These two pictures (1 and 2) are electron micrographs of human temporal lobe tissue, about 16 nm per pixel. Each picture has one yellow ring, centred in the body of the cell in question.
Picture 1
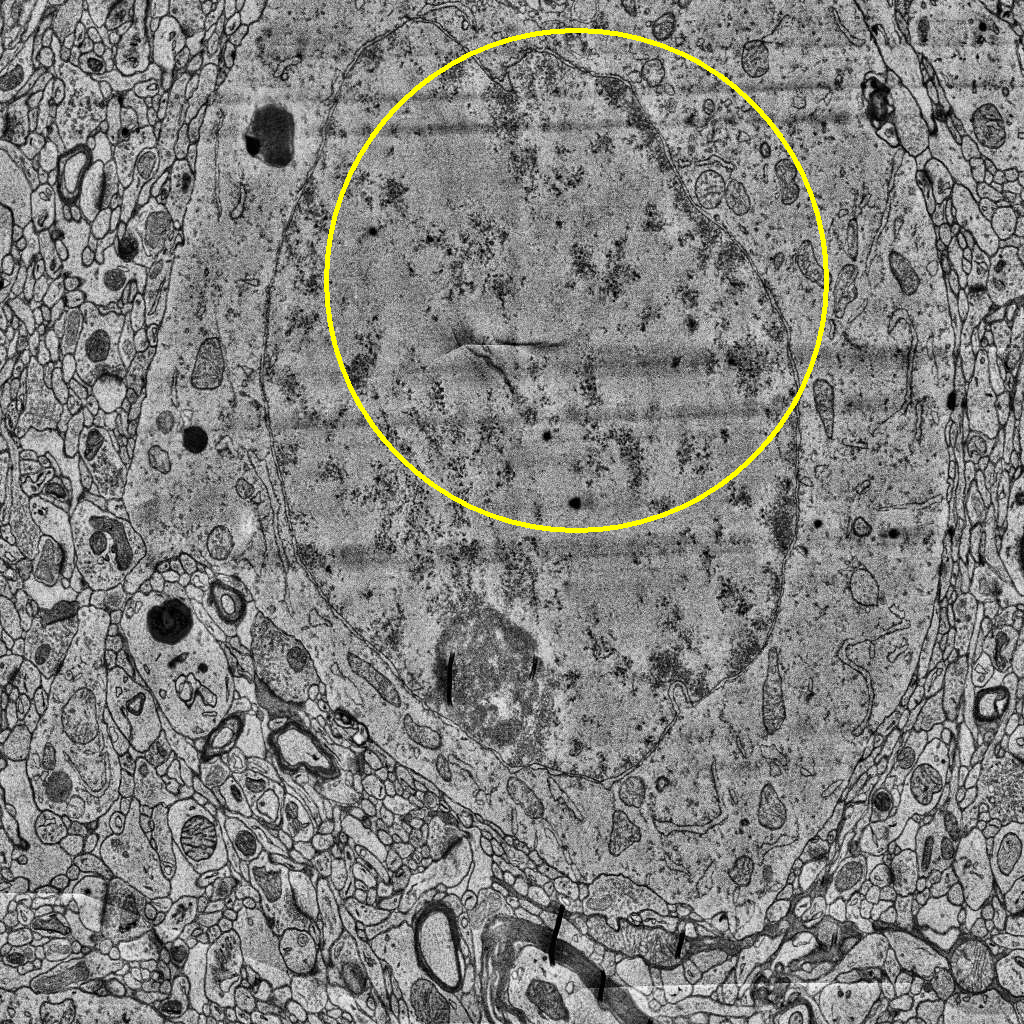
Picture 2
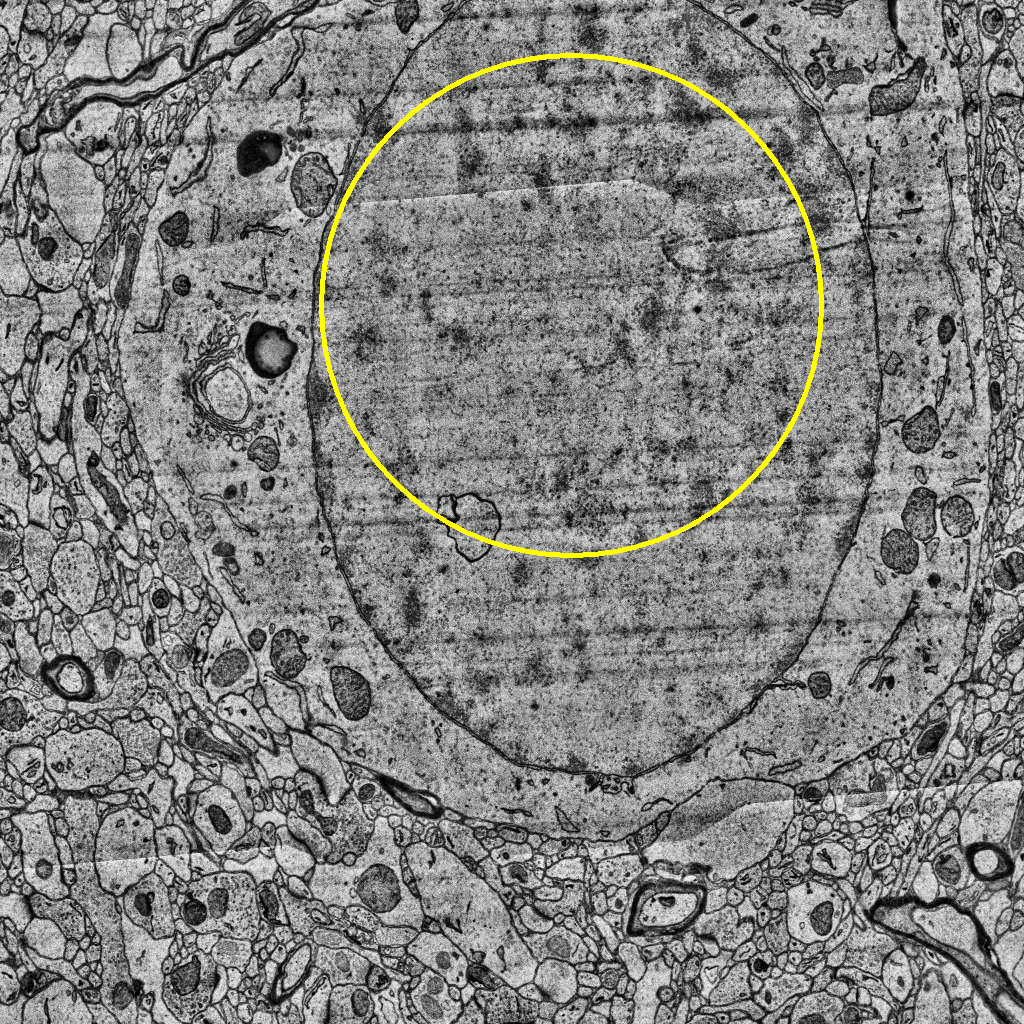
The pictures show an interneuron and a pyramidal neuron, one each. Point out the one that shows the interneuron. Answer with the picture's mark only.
1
